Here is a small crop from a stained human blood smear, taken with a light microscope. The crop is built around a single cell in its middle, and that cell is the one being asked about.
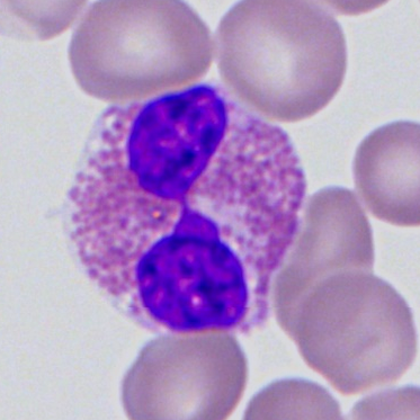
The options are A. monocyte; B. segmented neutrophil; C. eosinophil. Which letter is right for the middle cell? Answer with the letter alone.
C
